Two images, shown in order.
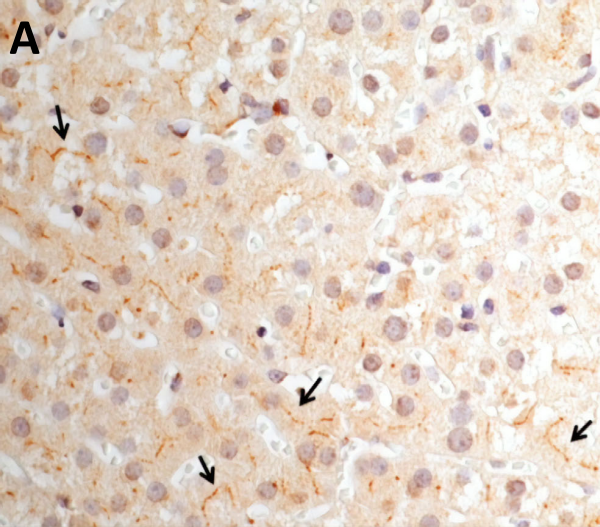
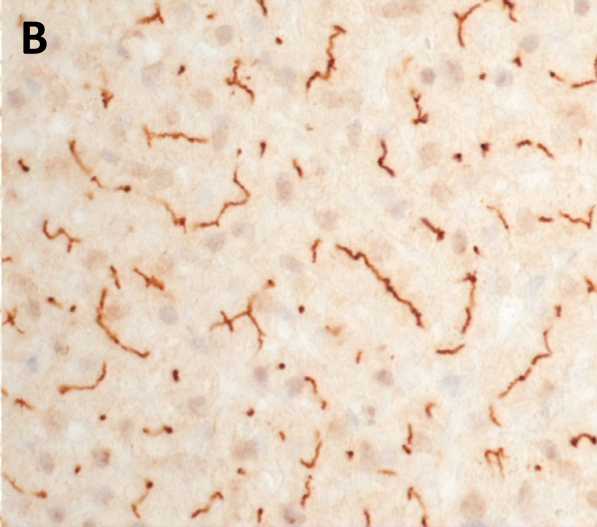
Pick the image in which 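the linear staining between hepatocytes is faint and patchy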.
the first image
